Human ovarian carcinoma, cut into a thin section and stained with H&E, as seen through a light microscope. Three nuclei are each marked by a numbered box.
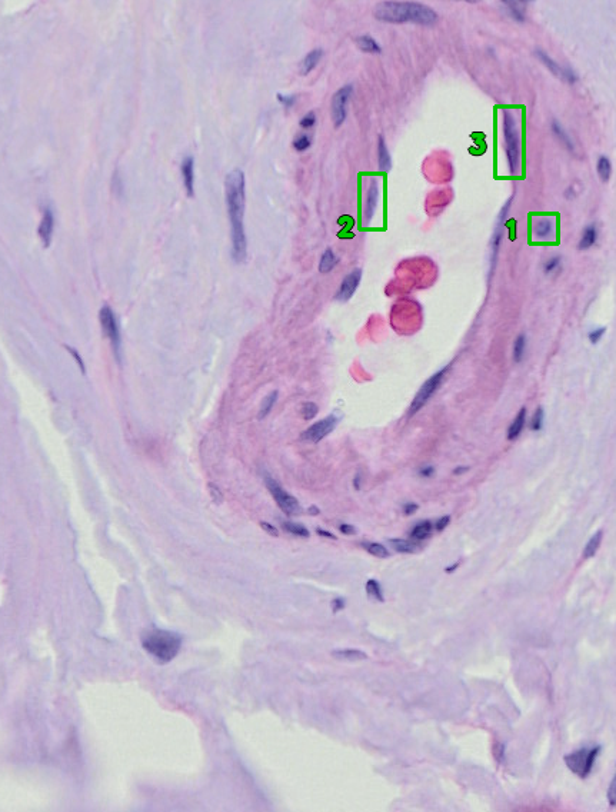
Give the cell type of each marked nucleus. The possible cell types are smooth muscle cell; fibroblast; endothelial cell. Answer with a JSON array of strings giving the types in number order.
["smooth muscle cell", "endothelial cell", "endothelial cell"]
